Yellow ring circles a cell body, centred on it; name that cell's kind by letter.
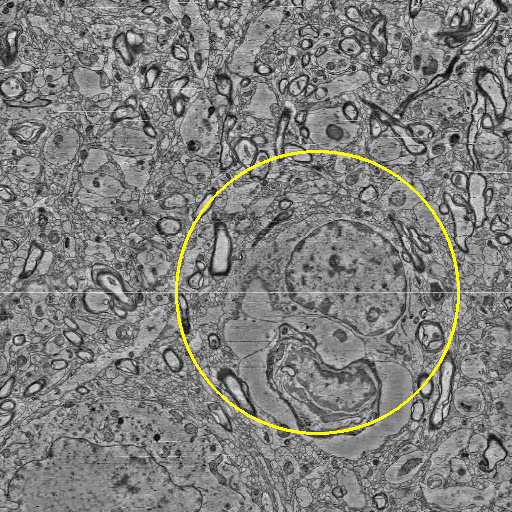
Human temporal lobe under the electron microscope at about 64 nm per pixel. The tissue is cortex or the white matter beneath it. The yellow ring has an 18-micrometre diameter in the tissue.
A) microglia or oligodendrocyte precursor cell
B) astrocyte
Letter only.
A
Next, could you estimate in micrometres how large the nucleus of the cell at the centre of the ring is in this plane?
About 8 by 6 micrometers, in this plane.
